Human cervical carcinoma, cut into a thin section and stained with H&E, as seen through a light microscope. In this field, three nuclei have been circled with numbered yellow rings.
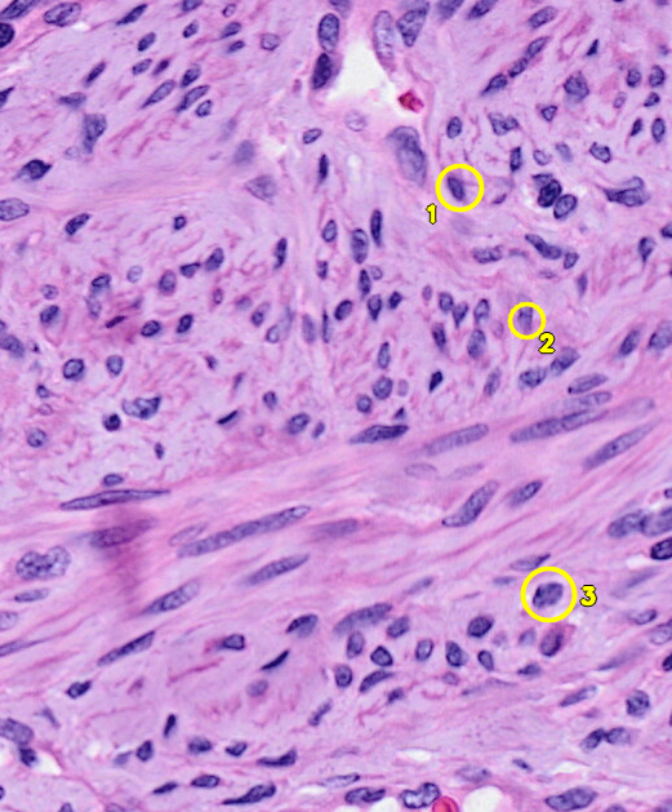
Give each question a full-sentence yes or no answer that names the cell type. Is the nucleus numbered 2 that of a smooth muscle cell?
Yes, the one numbered 2 is a smooth muscle cell.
